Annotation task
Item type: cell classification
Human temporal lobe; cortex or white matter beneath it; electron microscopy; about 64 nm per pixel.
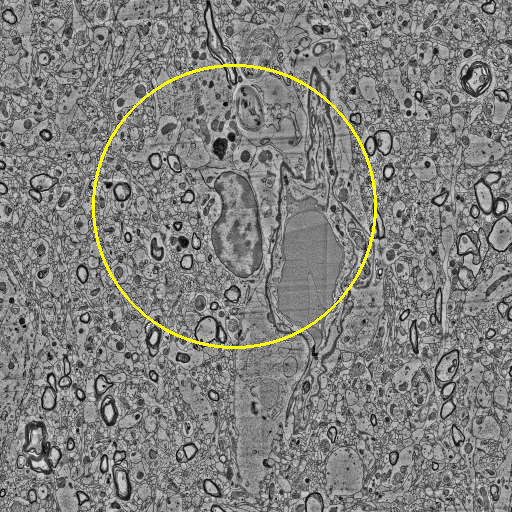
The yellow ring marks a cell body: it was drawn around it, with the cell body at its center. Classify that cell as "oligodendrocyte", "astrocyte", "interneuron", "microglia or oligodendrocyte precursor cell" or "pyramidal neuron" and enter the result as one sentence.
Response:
The ring's center falls on a microglial cell or oligodendrocyte precursor cell.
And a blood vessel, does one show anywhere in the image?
Yes, a blood vessel is present in this picture.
